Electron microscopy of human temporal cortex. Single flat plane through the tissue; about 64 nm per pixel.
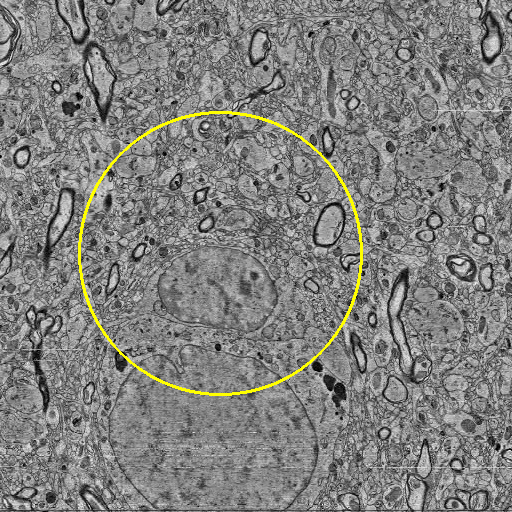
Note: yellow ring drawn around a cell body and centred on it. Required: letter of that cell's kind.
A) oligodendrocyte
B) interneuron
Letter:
A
